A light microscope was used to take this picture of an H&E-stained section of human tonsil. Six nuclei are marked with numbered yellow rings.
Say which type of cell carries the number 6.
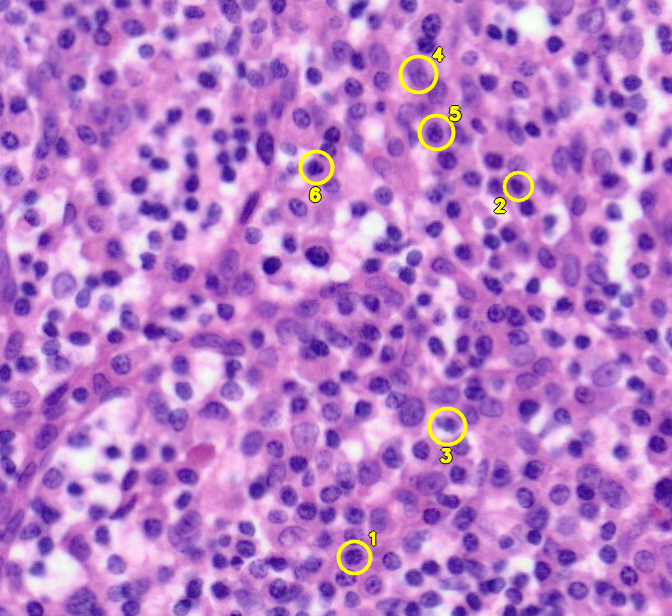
plasma cell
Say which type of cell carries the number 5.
plasma cell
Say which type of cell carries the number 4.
squamous epithelial cell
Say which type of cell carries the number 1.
plasma cell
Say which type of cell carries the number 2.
plasma cell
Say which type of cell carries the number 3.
squamous epithelial cell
